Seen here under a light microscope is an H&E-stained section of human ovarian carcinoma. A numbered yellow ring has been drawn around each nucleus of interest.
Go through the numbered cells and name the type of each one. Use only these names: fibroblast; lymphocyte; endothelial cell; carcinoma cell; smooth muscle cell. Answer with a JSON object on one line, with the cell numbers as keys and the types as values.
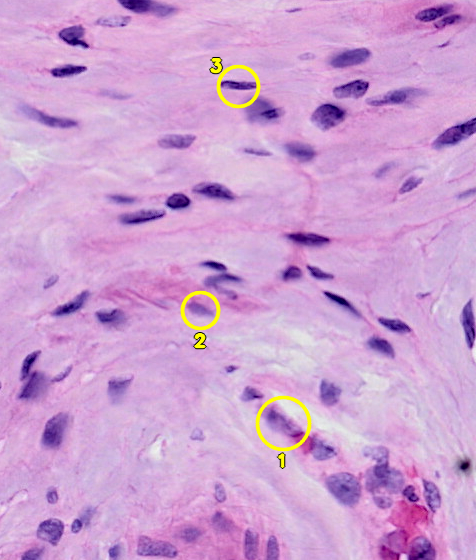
{"1": "endothelial cell", "2": "smooth muscle cell", "3": "fibroblast"}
